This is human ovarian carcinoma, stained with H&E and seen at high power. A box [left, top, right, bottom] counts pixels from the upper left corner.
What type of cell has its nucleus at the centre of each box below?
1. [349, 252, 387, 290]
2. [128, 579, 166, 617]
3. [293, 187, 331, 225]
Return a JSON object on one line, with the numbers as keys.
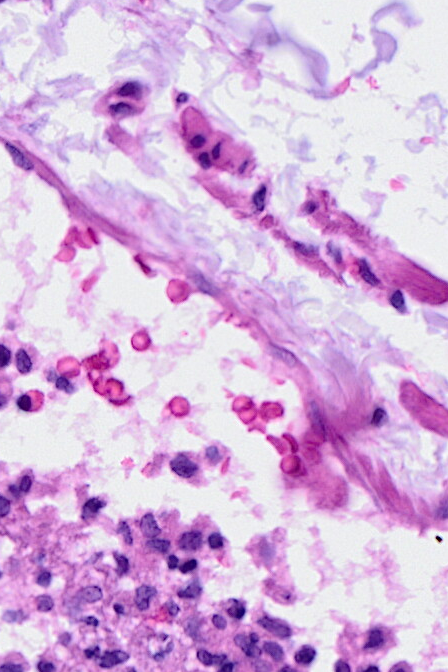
{"1": "endothelial cell", "2": "macrophage or monocyte", "3": "smooth muscle cell"}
